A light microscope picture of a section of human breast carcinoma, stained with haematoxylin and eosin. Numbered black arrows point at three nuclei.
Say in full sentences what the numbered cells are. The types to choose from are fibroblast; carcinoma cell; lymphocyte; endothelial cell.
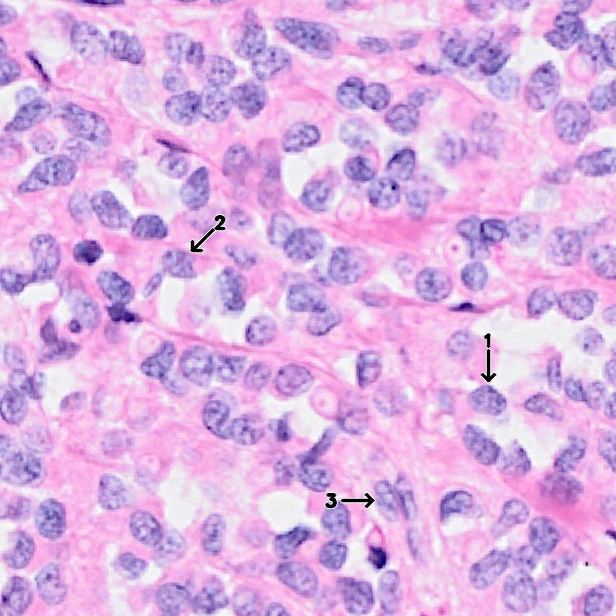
Cells 1 and 2 are carcinoma cells. Cell 3 is an endothelial cell.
